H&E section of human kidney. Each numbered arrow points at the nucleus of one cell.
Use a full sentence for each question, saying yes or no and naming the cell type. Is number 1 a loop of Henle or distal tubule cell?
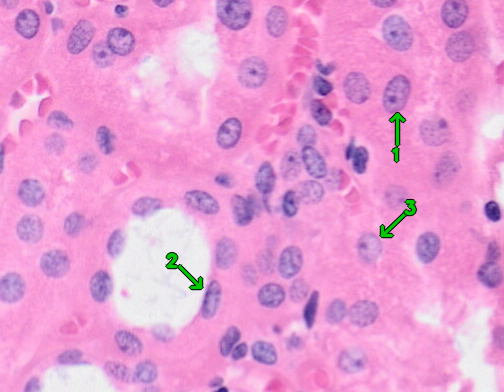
No, cell 1 represents a proximal tubule cell rather than a loop of Henle or distal tubule cell.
